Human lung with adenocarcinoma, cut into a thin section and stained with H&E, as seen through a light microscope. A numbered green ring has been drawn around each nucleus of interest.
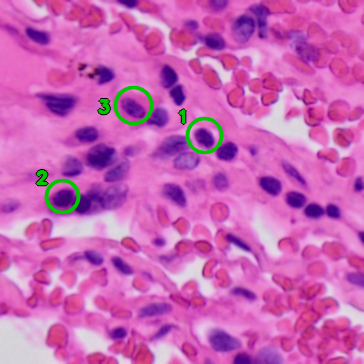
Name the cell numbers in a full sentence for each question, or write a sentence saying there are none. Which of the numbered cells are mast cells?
Cell 3 alone, of all the numbered cells, is a mast cell.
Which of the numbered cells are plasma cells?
Only one of the numbered nuclei, number 2, belongs to a plasma cell.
